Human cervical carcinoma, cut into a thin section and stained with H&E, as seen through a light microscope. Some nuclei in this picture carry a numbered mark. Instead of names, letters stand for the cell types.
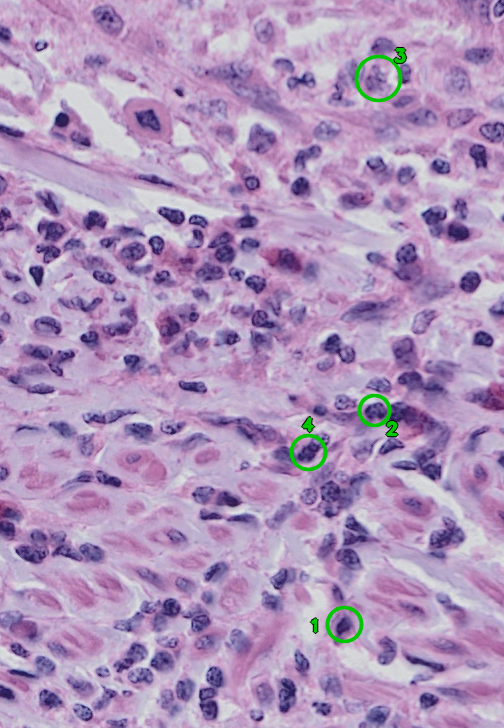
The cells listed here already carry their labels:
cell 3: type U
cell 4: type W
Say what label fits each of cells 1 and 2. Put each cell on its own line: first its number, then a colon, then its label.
1: type W
2: type W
